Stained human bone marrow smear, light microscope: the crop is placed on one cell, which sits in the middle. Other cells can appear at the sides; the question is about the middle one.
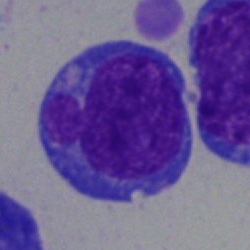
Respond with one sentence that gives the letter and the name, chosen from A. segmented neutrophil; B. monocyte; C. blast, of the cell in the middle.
The central cell, a blast, is correctly identified by option C.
